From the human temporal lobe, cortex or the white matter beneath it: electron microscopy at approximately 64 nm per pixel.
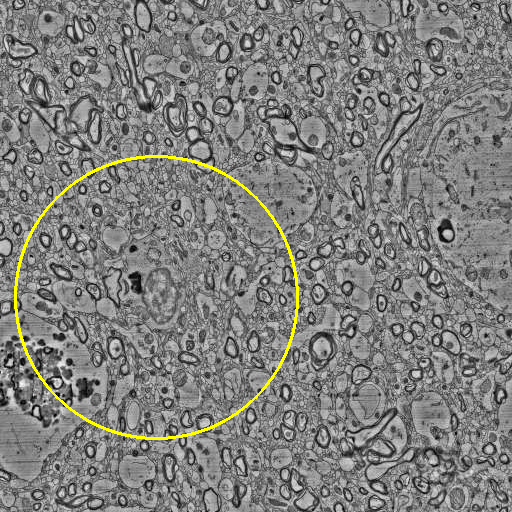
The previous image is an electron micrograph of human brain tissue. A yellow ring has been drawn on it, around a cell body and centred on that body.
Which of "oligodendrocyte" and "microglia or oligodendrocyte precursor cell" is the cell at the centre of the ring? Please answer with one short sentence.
The cell body at the centre of the ring belongs to an oligodendrocyte.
